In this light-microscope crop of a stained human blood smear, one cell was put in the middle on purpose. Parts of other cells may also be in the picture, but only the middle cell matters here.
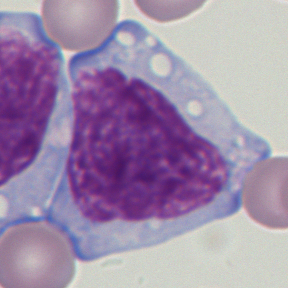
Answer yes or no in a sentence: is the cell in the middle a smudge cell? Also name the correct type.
No, not a smudge cell here; the centered cell is a myeloblast.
